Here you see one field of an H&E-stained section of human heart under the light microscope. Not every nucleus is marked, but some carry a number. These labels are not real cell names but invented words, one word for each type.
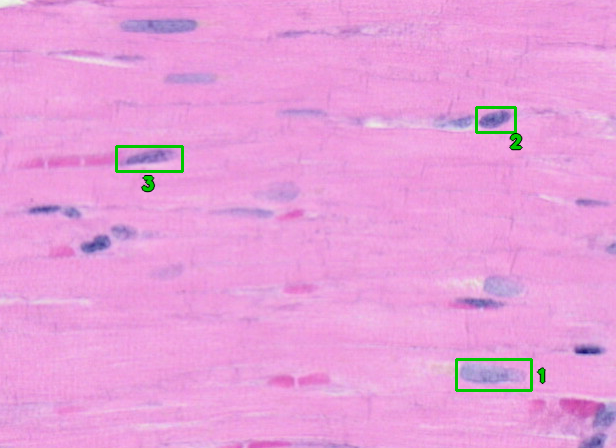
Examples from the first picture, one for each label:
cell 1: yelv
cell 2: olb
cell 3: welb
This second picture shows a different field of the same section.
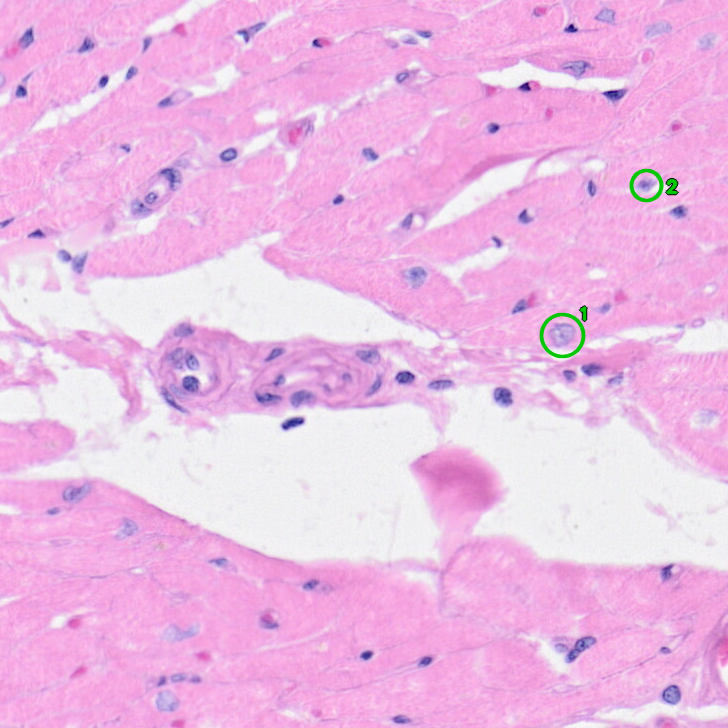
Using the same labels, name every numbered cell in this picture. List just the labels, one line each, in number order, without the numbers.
yelv
welb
